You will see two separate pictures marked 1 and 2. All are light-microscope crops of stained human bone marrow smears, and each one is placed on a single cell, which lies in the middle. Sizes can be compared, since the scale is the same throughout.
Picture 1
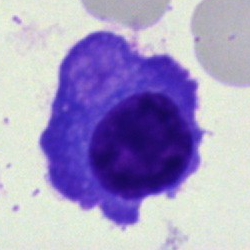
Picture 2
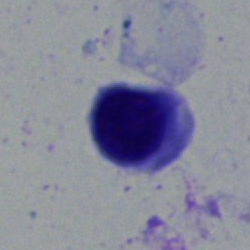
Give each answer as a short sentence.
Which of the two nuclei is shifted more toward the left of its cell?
In picture 2 the nucleus is shifted more toward the left.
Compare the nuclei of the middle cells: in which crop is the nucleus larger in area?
It is the nucleus in picture 1, about 2 times as large in area as the one in picture 2.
